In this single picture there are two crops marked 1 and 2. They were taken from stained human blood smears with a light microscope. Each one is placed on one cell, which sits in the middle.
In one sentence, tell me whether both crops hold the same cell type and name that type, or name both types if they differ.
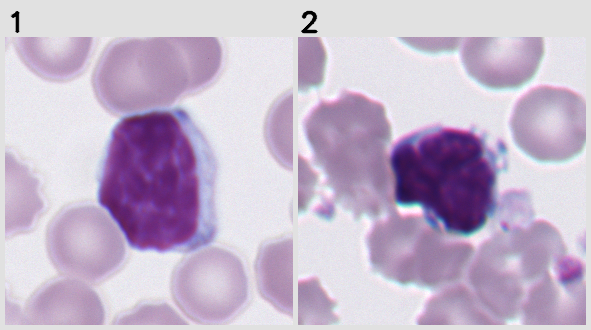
Yes, both crops in the pair show typical lymphocytes.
